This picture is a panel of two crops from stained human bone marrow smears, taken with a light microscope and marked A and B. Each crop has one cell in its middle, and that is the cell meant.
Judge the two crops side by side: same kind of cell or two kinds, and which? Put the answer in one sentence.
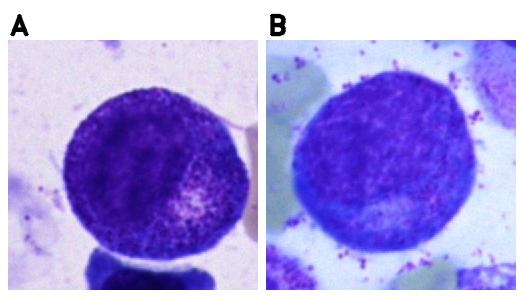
Yes, both of the crops in this pair show promyelocytes, one cell in each crop.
